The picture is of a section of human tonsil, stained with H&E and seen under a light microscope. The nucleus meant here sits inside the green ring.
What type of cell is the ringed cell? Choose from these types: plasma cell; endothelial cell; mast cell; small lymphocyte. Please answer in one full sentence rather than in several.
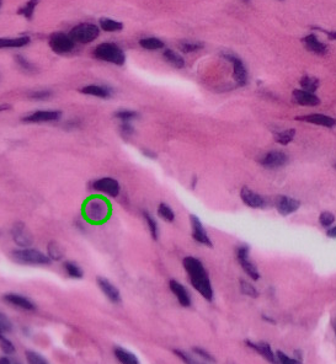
As a matter of cell type, the ringed cell is an endothelial cell.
